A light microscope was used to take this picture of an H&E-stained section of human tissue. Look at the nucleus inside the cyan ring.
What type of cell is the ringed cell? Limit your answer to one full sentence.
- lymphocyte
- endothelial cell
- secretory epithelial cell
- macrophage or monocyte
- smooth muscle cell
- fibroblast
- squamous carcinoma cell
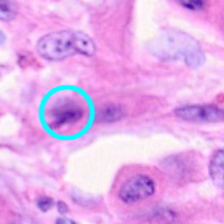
It is a macrophage or monocyte that the ringed cell represents.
